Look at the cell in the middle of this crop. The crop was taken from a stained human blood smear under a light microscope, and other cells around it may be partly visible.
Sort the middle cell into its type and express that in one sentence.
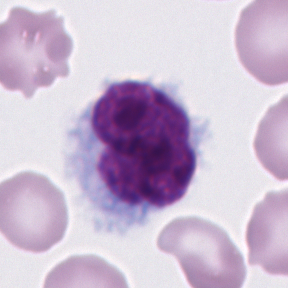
Classified as a hairy cell is the cell in the middle of this crop.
